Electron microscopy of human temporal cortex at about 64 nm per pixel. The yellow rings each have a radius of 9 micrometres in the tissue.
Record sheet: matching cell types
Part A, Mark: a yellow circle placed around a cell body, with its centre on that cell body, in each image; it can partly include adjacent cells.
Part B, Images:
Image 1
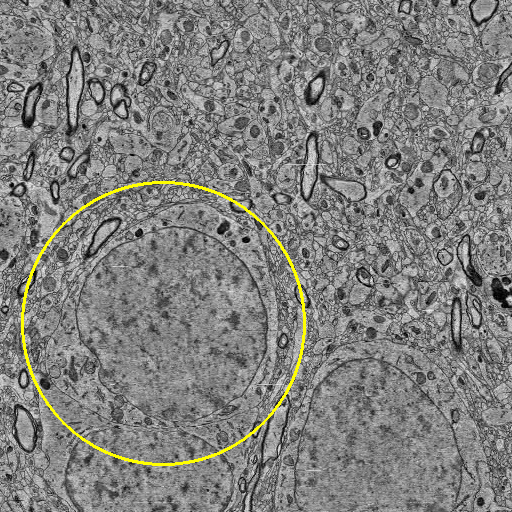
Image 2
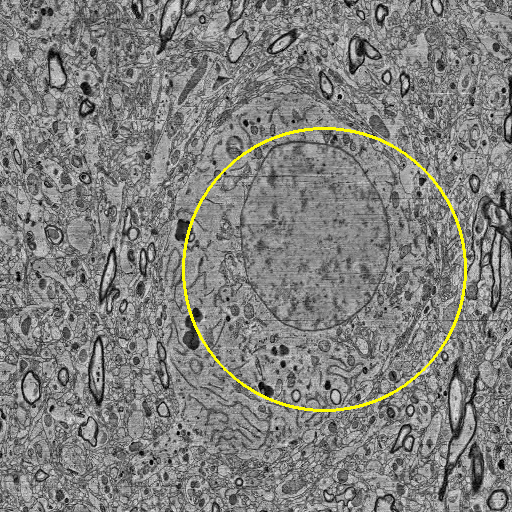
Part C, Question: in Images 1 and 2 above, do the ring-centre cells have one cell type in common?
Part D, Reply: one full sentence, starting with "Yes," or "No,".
Yes, the ring-centre cells of Image 1 and Image 2 are both of a single cell type.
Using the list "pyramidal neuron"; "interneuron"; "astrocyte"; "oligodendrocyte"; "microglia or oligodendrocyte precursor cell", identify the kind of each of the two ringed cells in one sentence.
In each of the two pictures, the ringed cell is a pyramidal neuron.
